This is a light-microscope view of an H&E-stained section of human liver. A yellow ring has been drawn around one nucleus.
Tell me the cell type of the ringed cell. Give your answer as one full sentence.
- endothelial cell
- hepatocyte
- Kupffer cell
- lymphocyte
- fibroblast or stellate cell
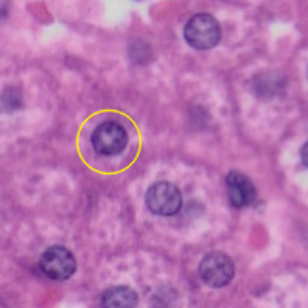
Placed in its cell category, the ringed cell is a hepatocyte.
